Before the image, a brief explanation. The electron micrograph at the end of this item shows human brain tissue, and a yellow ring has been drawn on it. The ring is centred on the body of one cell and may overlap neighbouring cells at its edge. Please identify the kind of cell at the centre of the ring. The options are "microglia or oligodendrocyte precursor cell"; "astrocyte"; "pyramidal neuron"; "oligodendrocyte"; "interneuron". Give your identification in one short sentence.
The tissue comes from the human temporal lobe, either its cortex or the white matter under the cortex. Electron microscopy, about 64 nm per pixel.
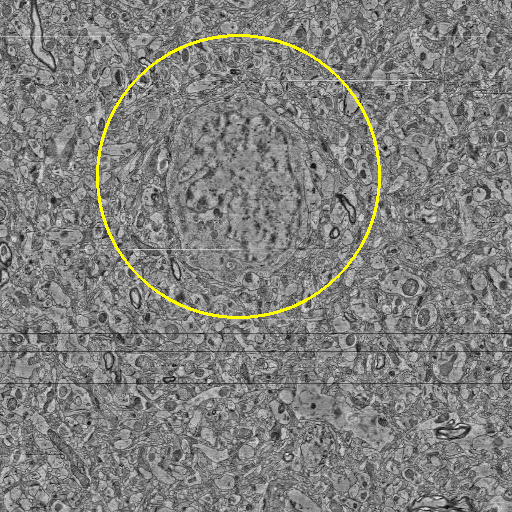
The ring has been placed around an interneuron.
